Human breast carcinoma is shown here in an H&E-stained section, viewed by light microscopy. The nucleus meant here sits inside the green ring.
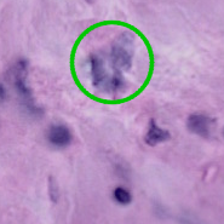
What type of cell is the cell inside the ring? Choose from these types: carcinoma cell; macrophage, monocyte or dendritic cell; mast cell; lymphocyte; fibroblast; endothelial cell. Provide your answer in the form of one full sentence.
In the context of this tissue, the cell inside the ring is a fibroblast.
